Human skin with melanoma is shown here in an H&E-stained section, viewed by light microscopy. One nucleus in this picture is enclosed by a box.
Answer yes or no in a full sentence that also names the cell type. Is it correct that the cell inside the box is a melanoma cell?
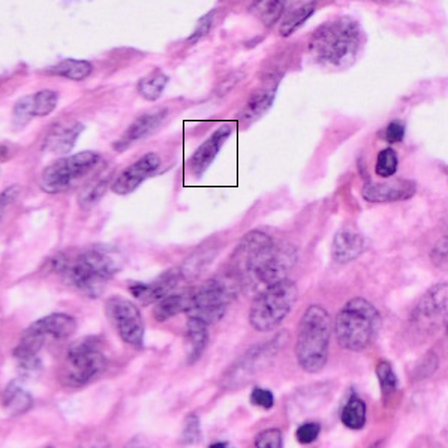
Yes, the identification stands: the cell inside the box is a melanoma cell.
